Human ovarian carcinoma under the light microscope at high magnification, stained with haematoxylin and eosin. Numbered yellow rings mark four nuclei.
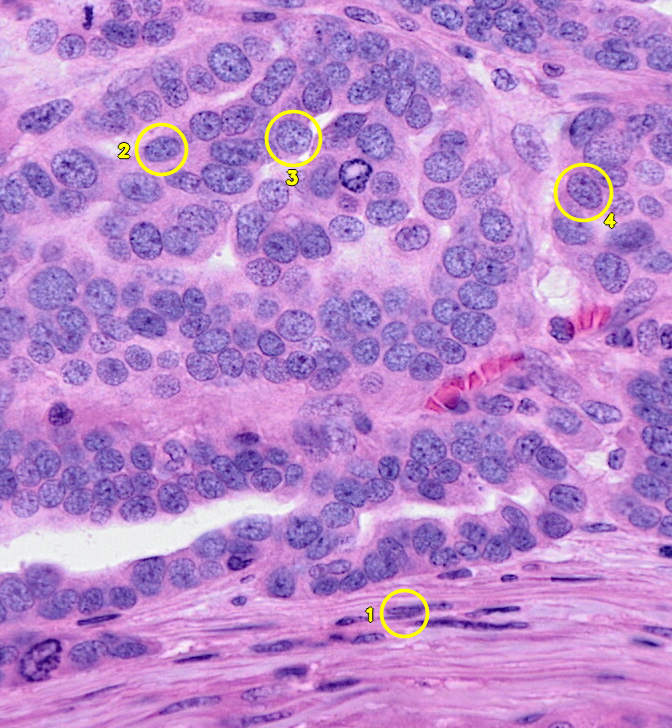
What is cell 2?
carcinoma cell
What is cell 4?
carcinoma cell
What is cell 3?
carcinoma cell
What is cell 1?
fibroblast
